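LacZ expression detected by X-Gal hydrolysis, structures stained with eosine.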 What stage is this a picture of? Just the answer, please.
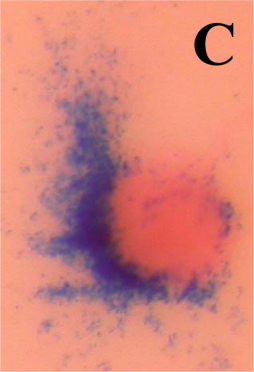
Early mound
